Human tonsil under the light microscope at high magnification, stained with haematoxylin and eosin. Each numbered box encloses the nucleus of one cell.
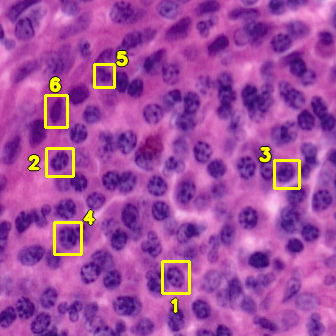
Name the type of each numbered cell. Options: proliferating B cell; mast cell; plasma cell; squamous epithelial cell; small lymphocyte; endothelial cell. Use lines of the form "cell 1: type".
cell 1: plasma cell
cell 2: plasma cell
cell 3: plasma cell
cell 4: plasma cell
cell 5: squamous epithelial cell
cell 6: squamous epithelial cell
